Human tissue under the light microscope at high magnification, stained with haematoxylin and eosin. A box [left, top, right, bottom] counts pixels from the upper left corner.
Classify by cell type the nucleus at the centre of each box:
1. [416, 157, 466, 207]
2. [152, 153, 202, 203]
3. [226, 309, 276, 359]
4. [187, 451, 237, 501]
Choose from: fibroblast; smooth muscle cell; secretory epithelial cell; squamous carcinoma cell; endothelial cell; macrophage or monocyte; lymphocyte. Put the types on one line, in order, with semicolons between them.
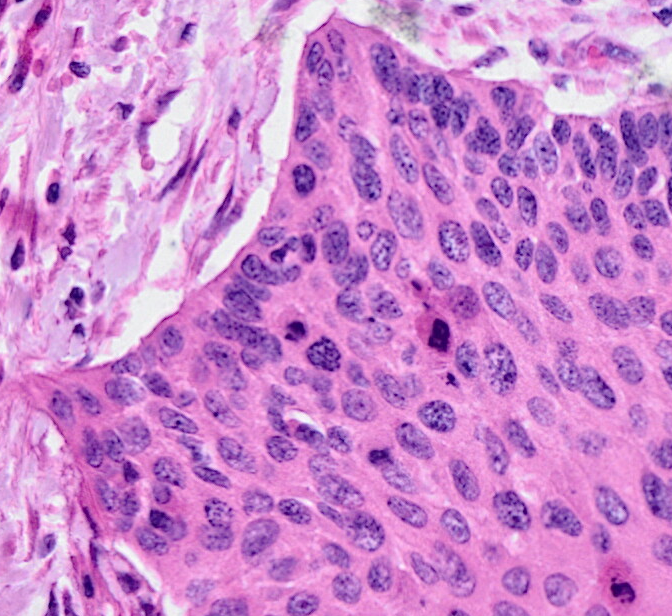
squamous carcinoma cell; fibroblast; squamous carcinoma cell; squamous carcinoma cell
